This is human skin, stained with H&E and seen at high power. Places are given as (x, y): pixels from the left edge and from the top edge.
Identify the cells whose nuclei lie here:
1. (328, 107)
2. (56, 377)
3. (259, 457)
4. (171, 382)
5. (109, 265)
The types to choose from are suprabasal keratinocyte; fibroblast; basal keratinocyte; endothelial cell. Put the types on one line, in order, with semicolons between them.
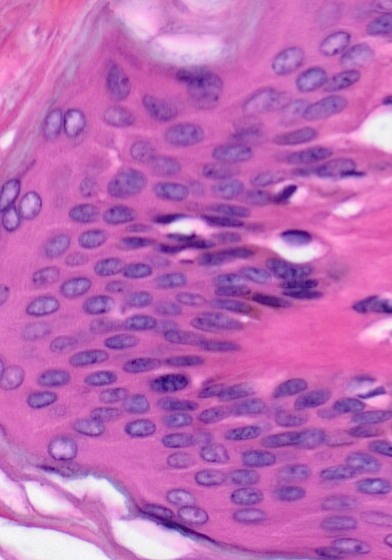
basal keratinocyte; suprabasal keratinocyte; suprabasal keratinocyte; basal keratinocyte; suprabasal keratinocyte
